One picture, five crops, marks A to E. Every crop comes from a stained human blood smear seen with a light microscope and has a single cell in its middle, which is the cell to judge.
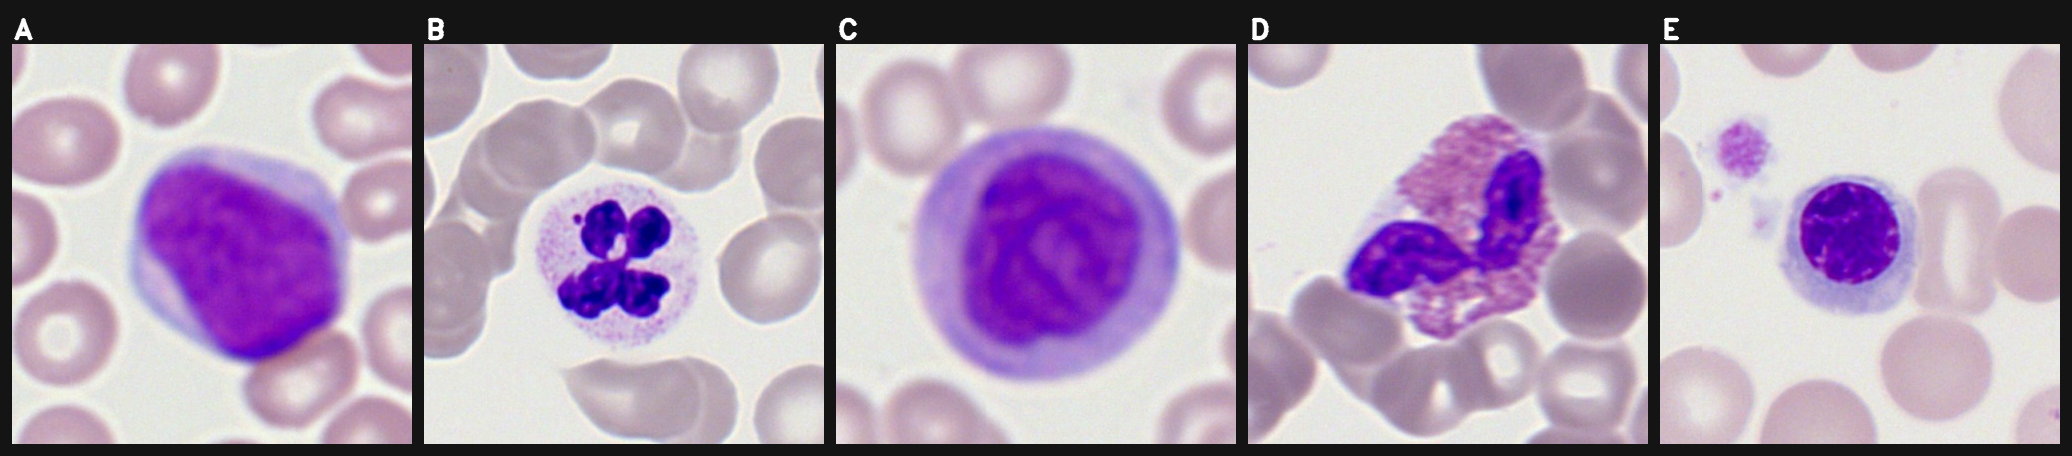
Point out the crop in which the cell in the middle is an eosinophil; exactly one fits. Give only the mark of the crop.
D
